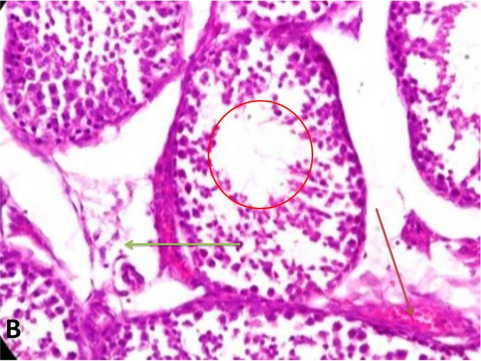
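This is a seminiferous tubule of the testis cut in cross section, lined by several layers of germ cells with rounded, dark purple nuclei. The germinal epithelium sits on a thin pink boundary and thins toward the centre. The lumen in the middle is pale and holds only sparse, loosely scattered cells and wisps of material. Between the tubules the interstitium is a loose, pale space with only a few cells in it. At the lower right a pink-red streak runs between tubules.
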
